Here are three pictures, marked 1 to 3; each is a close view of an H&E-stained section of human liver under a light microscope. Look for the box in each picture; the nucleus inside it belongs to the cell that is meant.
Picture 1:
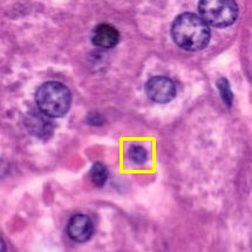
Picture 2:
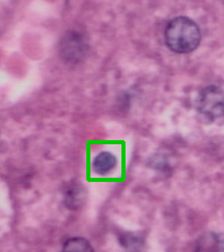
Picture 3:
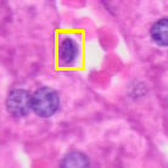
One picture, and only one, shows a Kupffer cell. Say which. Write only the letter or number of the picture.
3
